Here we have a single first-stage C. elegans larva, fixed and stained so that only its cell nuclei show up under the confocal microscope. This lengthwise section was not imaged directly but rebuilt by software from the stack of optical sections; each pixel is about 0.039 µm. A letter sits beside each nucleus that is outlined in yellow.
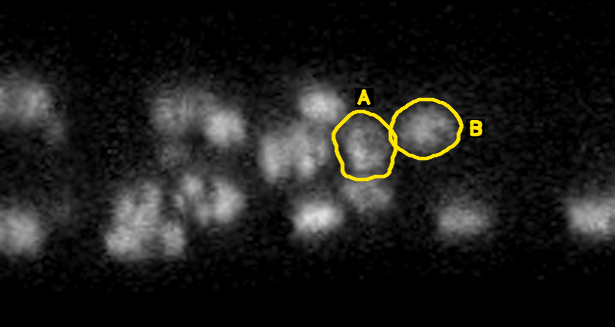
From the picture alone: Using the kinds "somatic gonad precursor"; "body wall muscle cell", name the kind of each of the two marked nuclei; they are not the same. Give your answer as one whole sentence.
The nucleus A is that of a somatic gonad precursor, while B is that of a body wall muscle cell.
